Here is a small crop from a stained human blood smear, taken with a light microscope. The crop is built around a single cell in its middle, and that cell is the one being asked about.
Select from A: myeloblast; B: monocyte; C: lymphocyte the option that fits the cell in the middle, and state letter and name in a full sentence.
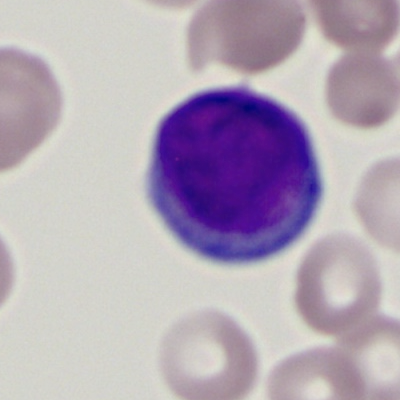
The expected answer is option A, the central cell being a myeloblast.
